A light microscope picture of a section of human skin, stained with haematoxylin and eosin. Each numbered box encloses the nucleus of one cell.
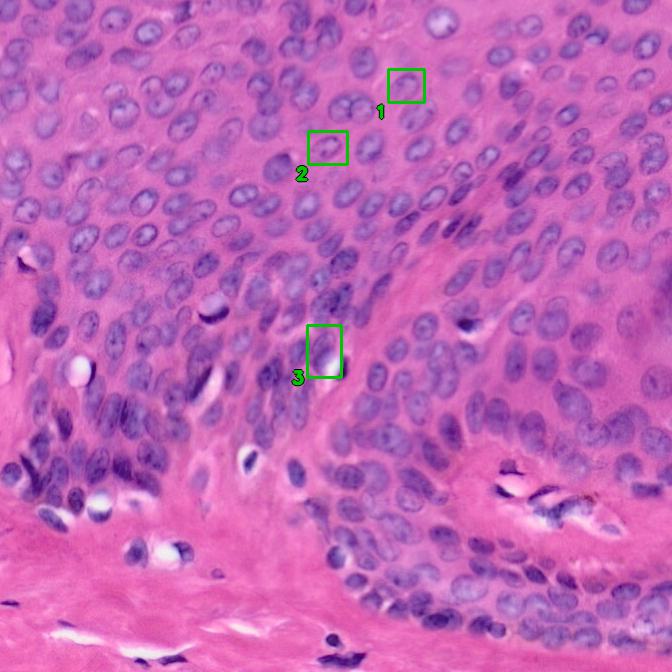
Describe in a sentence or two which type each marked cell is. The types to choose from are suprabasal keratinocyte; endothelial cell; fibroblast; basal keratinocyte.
Cells 1 and 2 are suprabasal keratinocytes. Cell 3 is a basal keratinocyte.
